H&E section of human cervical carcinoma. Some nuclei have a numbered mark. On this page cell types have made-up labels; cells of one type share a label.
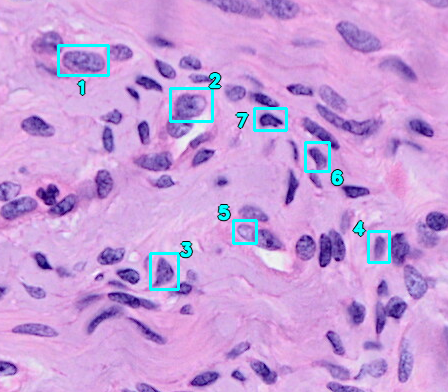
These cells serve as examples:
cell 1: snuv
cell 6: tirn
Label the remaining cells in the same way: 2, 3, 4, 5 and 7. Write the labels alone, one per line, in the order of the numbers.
snuv
tirn
tirn
snuv
tirn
